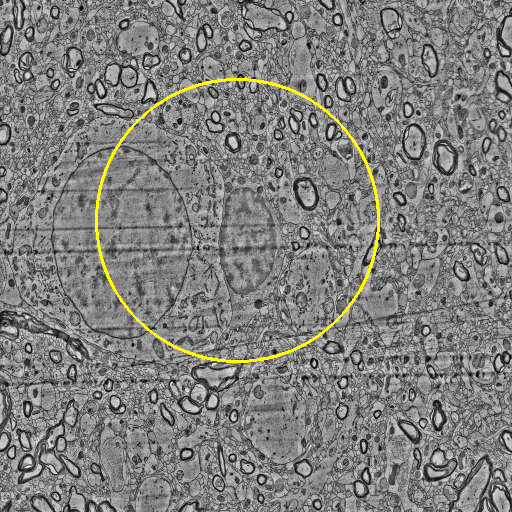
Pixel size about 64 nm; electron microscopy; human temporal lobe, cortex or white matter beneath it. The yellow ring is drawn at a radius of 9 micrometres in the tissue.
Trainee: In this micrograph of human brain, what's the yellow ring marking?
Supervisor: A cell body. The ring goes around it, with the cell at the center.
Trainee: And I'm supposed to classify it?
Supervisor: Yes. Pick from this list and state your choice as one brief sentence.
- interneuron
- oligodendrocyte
The cell at the ring's center is an oligodendrocyte.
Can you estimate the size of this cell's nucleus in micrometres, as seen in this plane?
Approximately 7 micrometres long and 4 micrometres wide, in this plane.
